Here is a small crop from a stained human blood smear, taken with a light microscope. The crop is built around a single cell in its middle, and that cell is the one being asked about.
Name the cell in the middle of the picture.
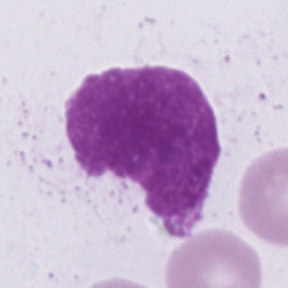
smudge cell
